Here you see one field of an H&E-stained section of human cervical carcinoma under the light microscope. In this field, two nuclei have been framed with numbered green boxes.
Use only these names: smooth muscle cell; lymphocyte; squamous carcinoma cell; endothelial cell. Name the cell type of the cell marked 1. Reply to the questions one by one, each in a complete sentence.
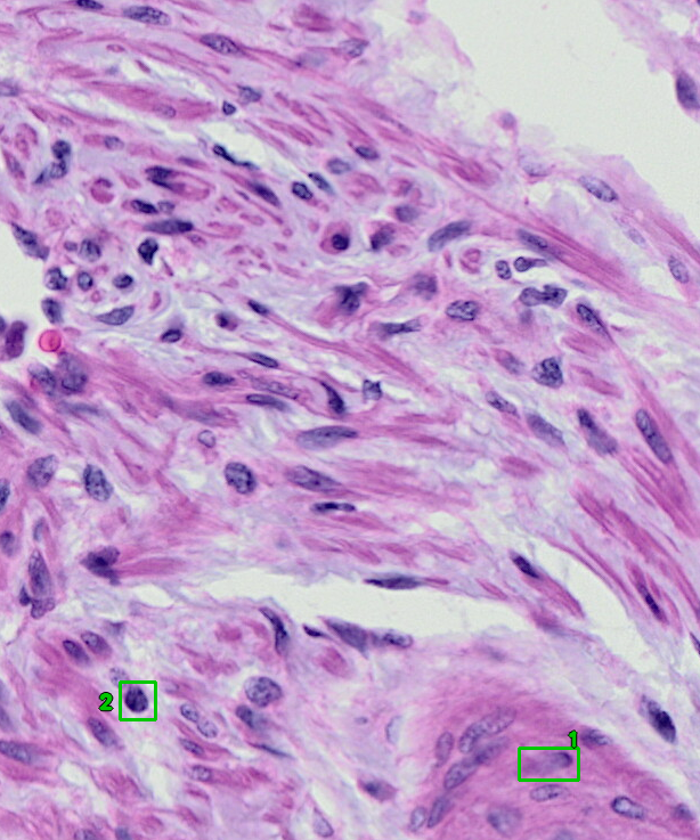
The nucleus labelled 1 belongs to a smooth muscle cell.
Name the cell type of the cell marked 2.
The one numbered 2 among the marked cells is a lymphocyte.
